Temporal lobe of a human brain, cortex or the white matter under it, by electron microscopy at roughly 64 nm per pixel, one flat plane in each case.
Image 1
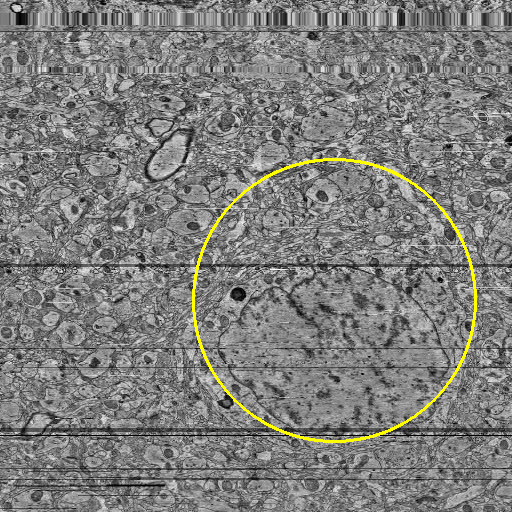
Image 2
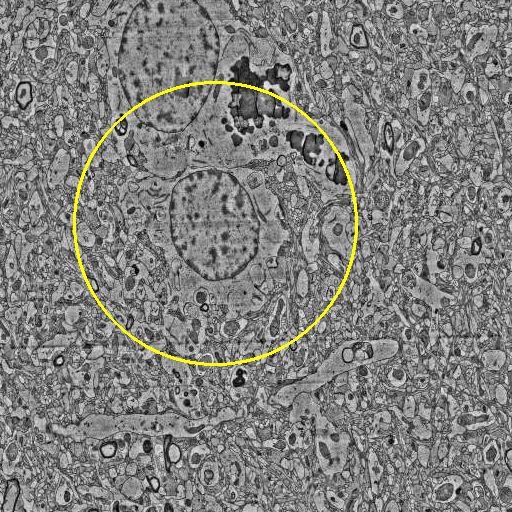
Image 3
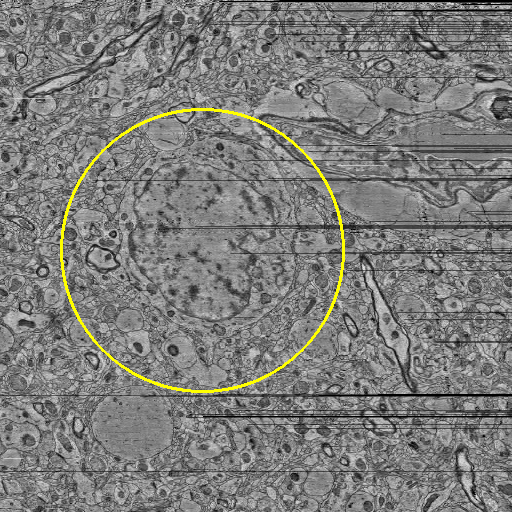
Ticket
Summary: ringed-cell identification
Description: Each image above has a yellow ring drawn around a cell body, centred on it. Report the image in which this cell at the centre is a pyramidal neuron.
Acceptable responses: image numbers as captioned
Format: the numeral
1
